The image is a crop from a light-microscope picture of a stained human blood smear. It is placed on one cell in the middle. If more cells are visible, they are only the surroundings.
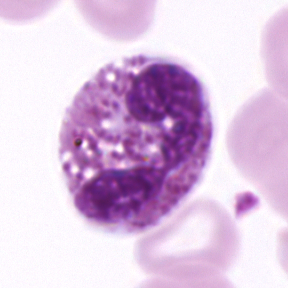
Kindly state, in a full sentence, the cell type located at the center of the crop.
In the central position of this crop, the cell is an eosinophil.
